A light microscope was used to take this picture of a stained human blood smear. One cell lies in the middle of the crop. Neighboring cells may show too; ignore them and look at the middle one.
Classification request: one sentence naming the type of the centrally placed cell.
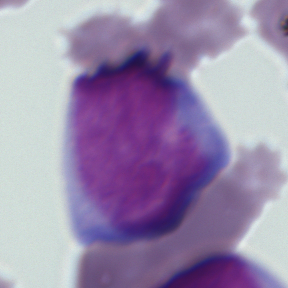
The cell marked by its central position in the crop is a myeloblast.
